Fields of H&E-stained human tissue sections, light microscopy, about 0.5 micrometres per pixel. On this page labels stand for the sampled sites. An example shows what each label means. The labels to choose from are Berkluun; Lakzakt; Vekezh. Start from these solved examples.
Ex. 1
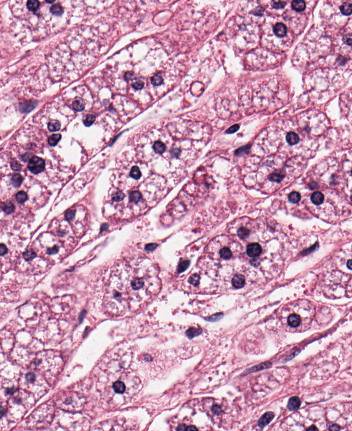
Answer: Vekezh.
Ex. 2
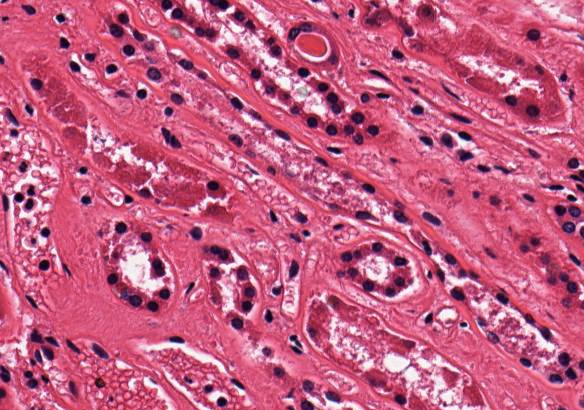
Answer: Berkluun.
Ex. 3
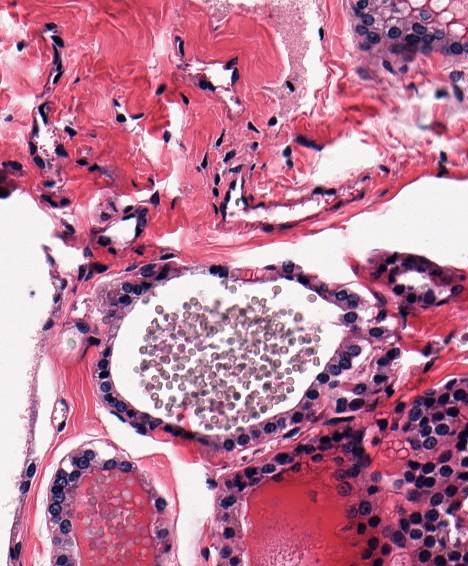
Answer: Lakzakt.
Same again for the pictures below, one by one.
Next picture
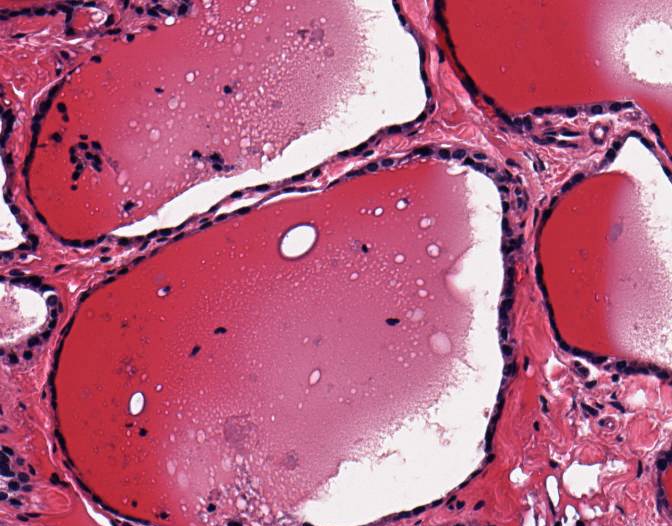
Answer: Lakzakt.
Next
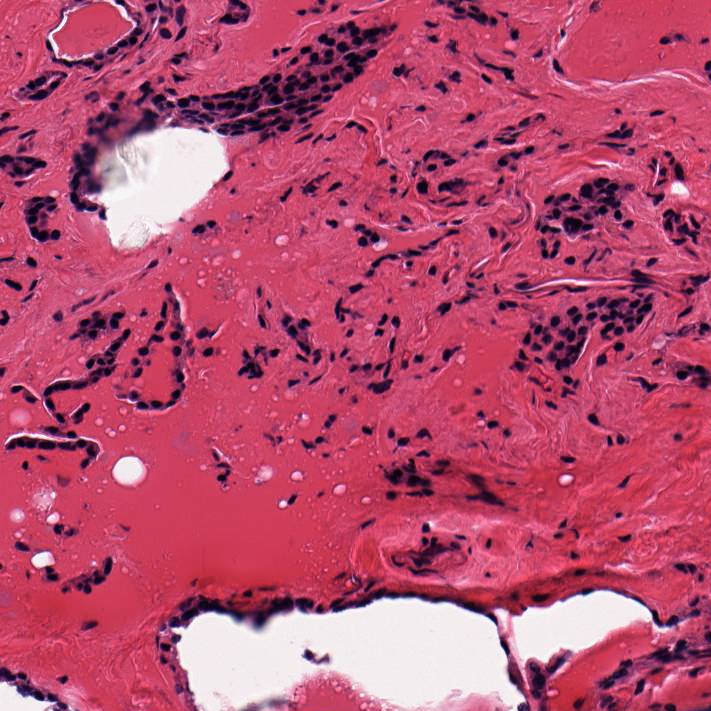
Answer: Lakzakt.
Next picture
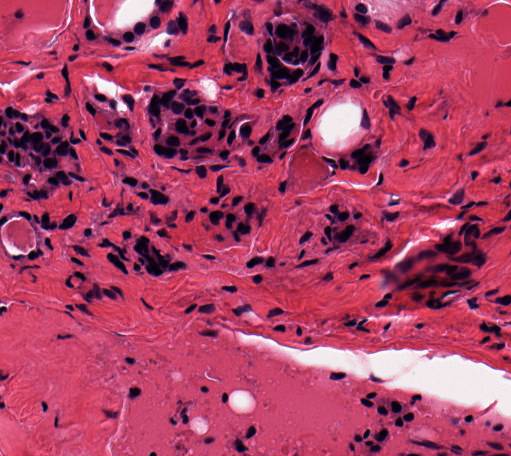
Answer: Lakzakt.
